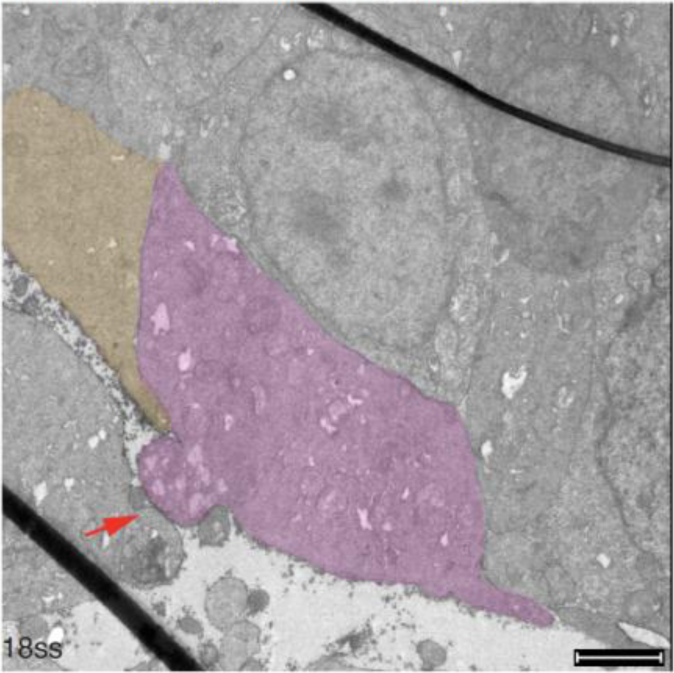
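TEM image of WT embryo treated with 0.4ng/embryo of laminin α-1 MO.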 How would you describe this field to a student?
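Transmission electron micrograph of a layer of closely packed embryonic cells, one of them tinted magenta and a neighbour on its left tinted tan. The cells have large oval nuclei with finely dispersed chromatin and grey cytoplasm. The magenta cell is elongated, tapering towards the lower right, and its cytoplasm holds many small pale vesicle-like spaces. At its lower left edge a rounded protrusion, a bleb, bulges out into a pale space beyond the cell layer, where small rounded profiles lie. Two thick dark diagonal bands cross the upper and lower corners of the field.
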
